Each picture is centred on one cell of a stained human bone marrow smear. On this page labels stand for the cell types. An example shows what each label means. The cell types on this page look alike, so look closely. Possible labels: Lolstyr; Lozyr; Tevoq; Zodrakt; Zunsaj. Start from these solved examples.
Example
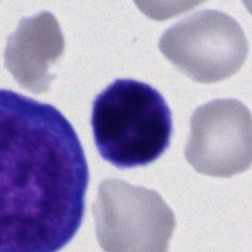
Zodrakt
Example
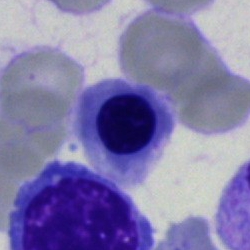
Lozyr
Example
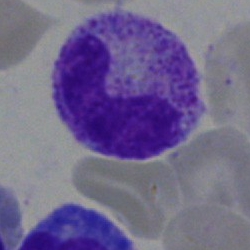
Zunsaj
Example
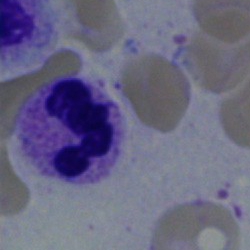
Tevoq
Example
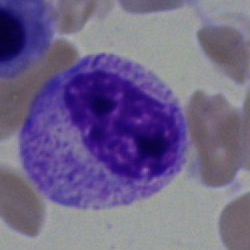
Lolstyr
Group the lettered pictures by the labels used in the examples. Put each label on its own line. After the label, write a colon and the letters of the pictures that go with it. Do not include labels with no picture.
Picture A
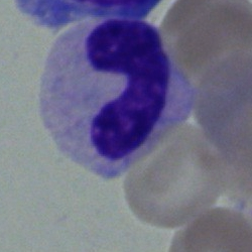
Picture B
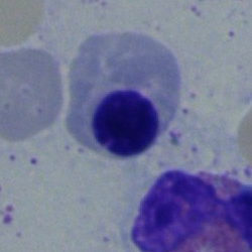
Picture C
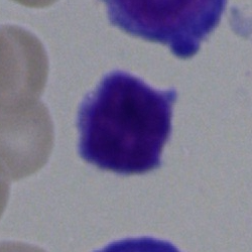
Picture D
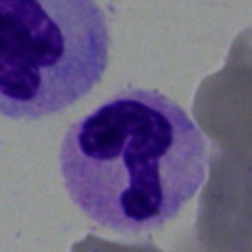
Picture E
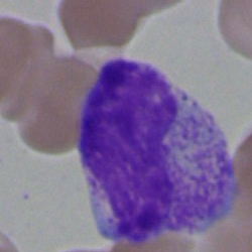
Lolstyr: E
Lozyr: B
Tevoq: D
Zodrakt: C
Zunsaj: A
